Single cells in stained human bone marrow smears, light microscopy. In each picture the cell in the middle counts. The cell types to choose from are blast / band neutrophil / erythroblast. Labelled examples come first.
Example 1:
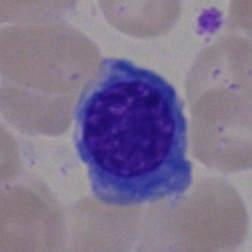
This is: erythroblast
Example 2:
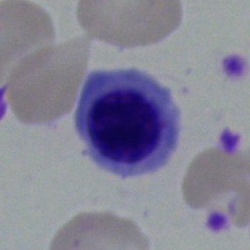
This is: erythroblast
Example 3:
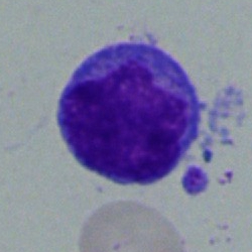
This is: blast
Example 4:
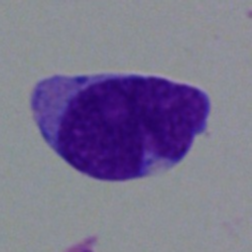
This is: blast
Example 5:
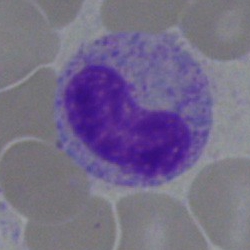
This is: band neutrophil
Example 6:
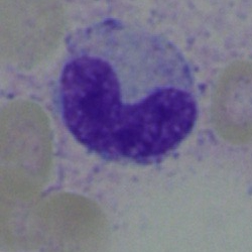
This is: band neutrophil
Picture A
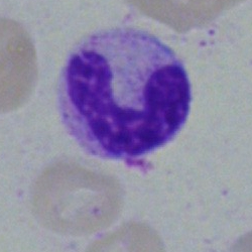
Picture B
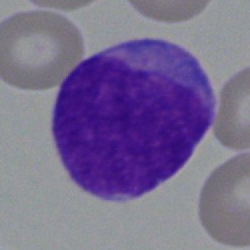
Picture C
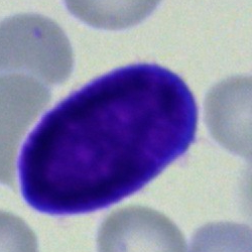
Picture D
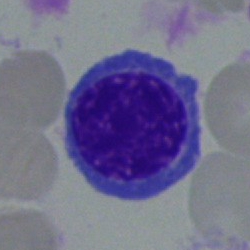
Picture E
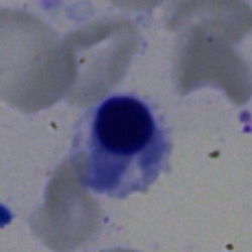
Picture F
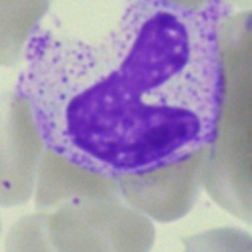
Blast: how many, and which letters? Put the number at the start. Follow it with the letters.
2, namely B, C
